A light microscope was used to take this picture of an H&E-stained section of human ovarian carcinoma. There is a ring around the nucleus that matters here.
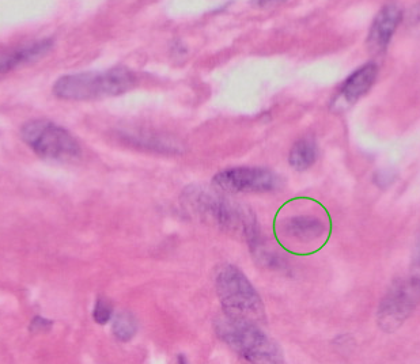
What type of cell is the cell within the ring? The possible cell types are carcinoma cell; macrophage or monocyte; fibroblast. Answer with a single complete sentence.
The cell type of the cell within the ring is that of a fibroblast.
